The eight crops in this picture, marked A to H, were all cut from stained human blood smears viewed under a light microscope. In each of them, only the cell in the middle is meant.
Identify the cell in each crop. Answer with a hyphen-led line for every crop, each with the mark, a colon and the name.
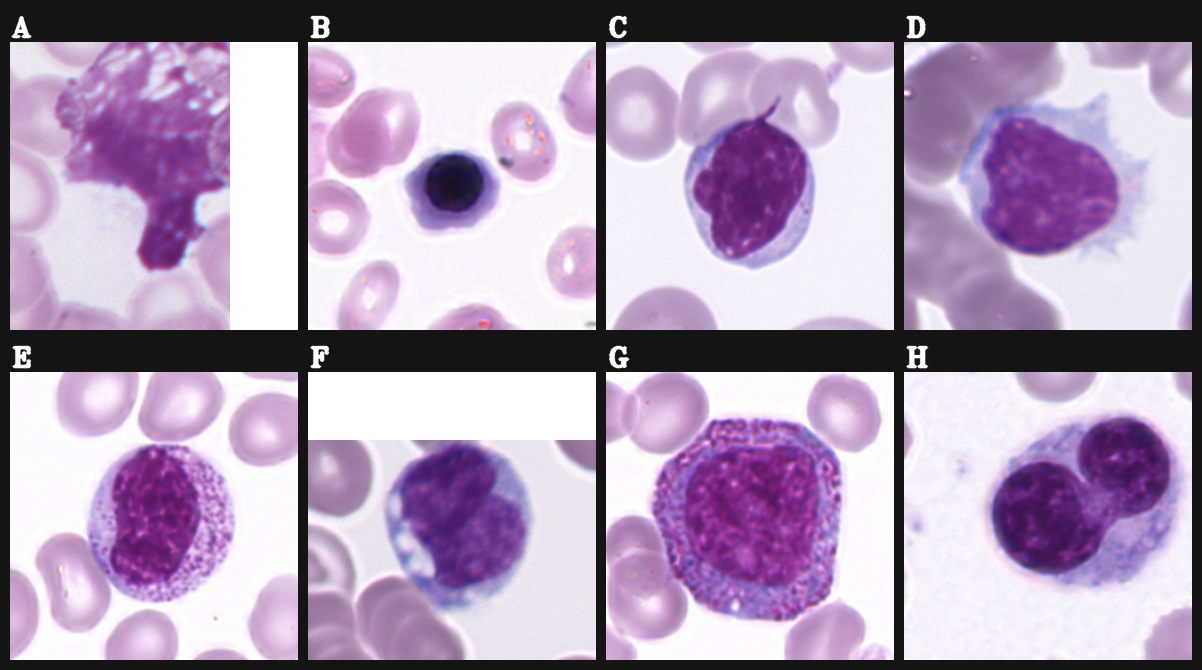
- A: smudge cell
- B: normoblast
- C: typical lymphocyte
- D: hairy cell
- E: metamyelocyte
- F: monocyte
- G: promyelocyte
- H: plasma cell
